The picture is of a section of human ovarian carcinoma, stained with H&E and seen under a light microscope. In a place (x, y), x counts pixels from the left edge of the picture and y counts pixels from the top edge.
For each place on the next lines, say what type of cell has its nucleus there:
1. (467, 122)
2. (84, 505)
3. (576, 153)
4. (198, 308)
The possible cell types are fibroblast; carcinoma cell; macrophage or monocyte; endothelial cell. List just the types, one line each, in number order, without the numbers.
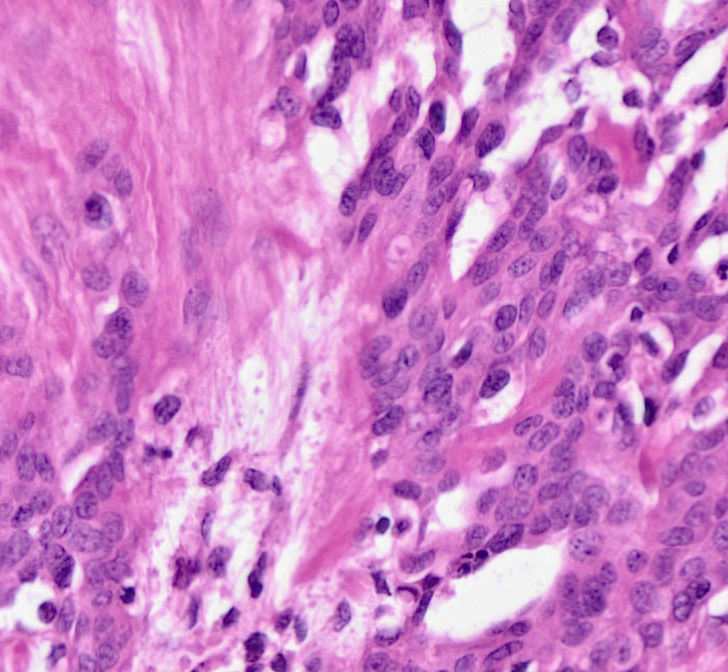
carcinoma cell
carcinoma cell
carcinoma cell
fibroblast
